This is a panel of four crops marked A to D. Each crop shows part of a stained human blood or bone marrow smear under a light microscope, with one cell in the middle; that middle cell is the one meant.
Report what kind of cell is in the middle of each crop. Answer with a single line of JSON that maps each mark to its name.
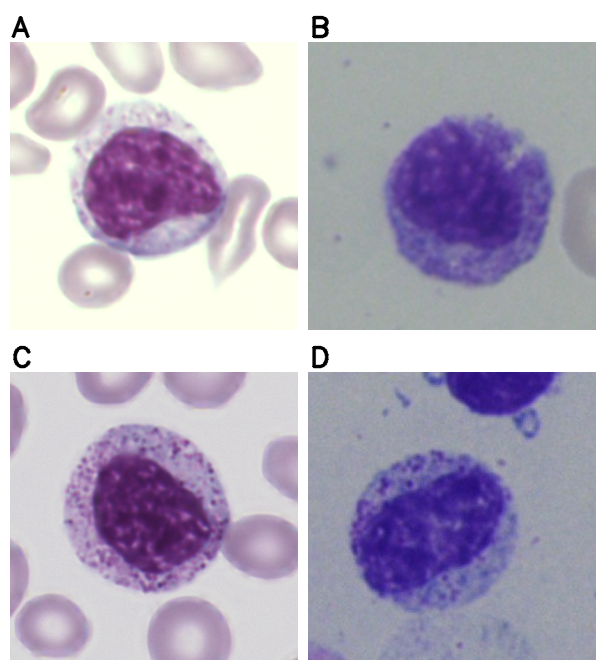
{"A": "metamyelocyte", "B": "myelocyte", "C": "metamyelocyte", "D": "myelocyte"}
